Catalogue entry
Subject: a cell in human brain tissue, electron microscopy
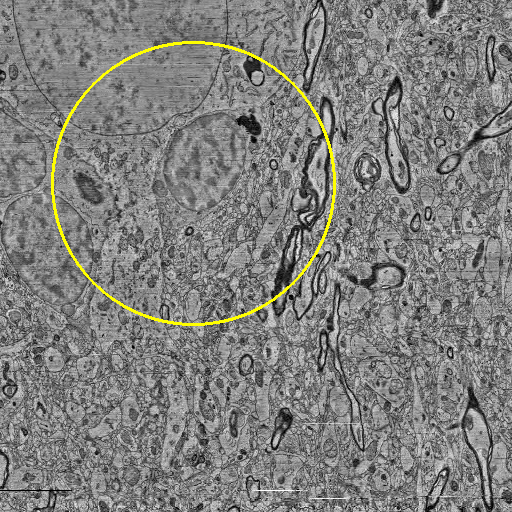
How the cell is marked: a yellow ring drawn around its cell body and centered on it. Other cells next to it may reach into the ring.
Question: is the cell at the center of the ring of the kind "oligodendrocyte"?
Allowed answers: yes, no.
yes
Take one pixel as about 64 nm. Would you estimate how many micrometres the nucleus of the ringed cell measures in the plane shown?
In this plane the nucleus is about 7 micrometres by 5.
